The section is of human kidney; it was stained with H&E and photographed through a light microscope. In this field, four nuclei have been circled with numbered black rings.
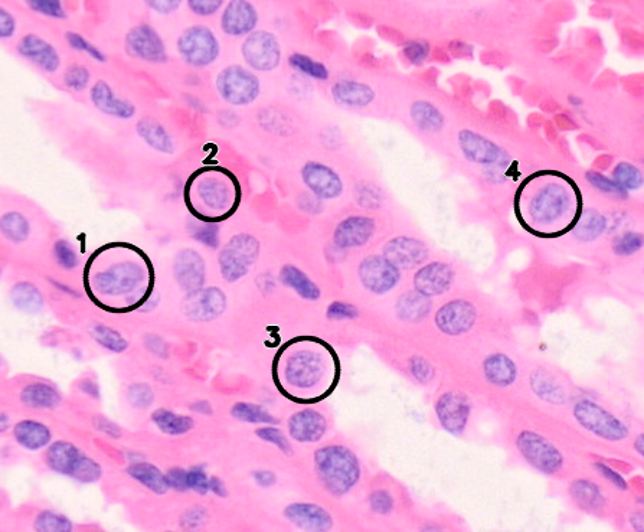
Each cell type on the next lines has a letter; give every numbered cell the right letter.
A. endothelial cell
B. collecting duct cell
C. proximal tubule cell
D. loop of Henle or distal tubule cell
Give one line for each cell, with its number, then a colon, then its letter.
1: B
2: B
3: D
4: B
